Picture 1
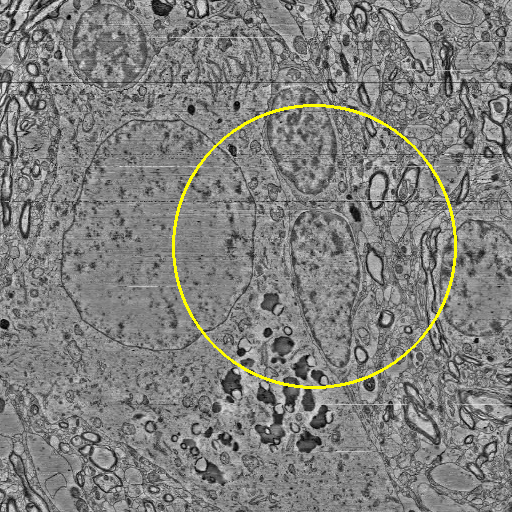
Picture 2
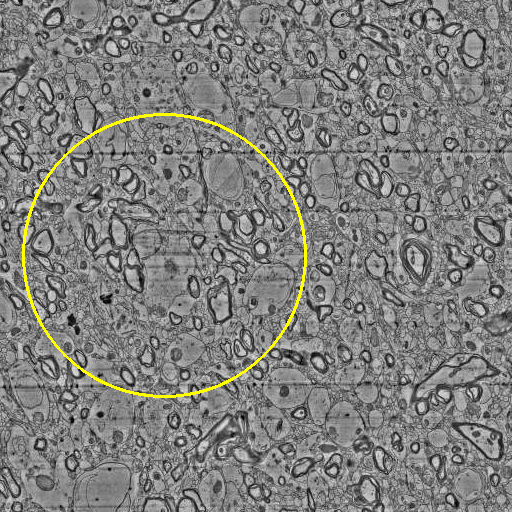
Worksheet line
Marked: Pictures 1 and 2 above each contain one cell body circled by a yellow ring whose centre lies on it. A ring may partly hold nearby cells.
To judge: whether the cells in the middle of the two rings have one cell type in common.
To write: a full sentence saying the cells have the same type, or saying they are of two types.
The cells in the middle of the rings in Picture 1 and Picture 2 have the same type.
